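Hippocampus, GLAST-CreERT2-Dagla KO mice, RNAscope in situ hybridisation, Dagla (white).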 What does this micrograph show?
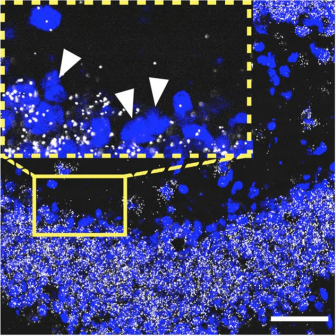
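The granular cell layer of the dentate gyrus forms a dense band of blue nuclei heavily speckled with white dots. The inset enlarges the subgranular zone at the inner border of this layer, where arrowheads mark a few nuclei that carry few or no white dots, lying beside dotted granule cells.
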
